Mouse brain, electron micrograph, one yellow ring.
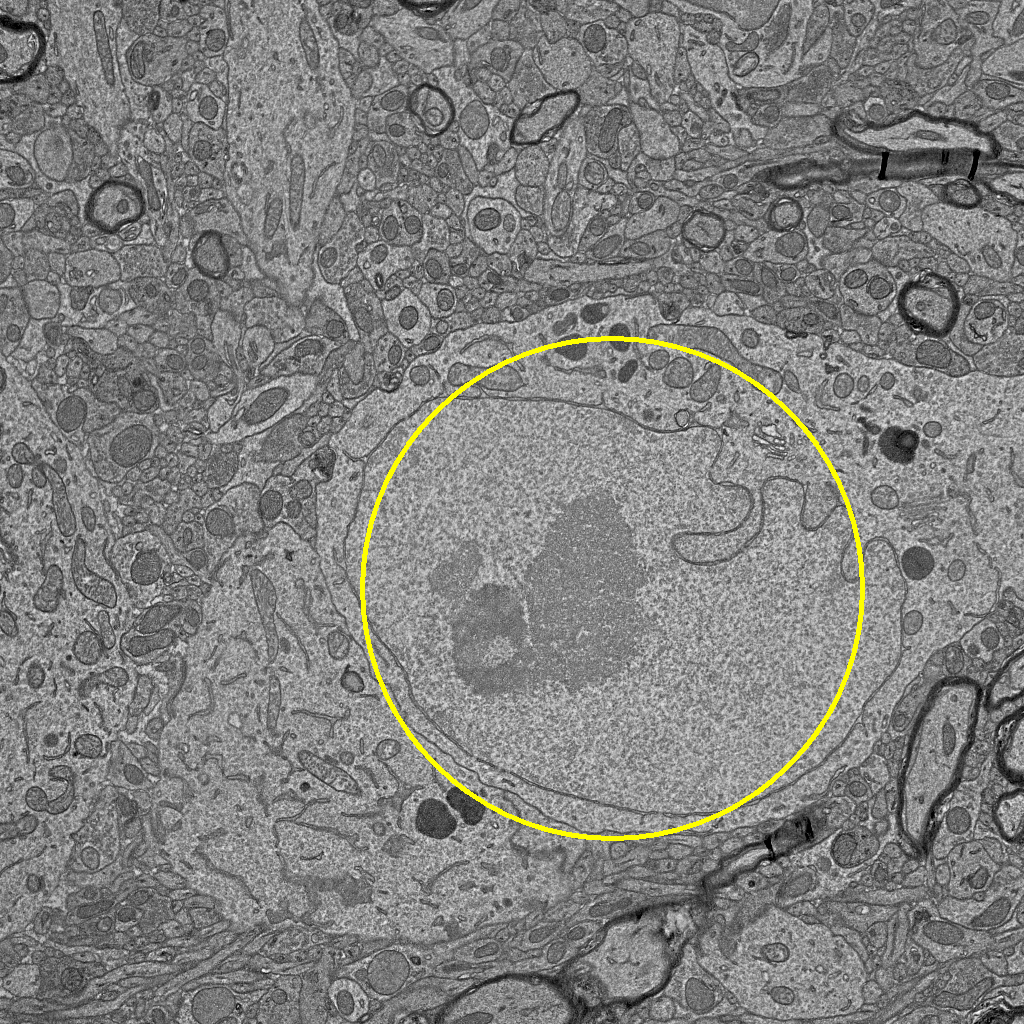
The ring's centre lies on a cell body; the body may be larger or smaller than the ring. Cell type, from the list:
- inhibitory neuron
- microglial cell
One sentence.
The yellow ring's centre lies on an inhibitory neuron.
